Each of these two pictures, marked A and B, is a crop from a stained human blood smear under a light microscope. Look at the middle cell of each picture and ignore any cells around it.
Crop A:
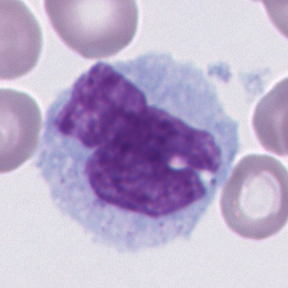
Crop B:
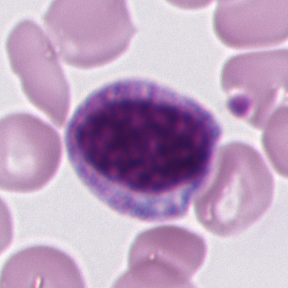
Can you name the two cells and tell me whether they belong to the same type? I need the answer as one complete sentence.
No, crop A carries a monocyte at its centre, and crop B carries a metamyelocyte.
